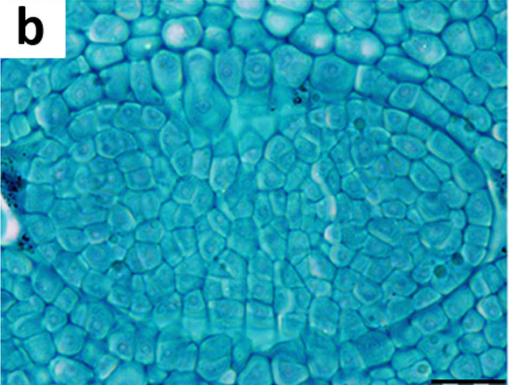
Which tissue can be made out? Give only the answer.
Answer: Apical meristem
